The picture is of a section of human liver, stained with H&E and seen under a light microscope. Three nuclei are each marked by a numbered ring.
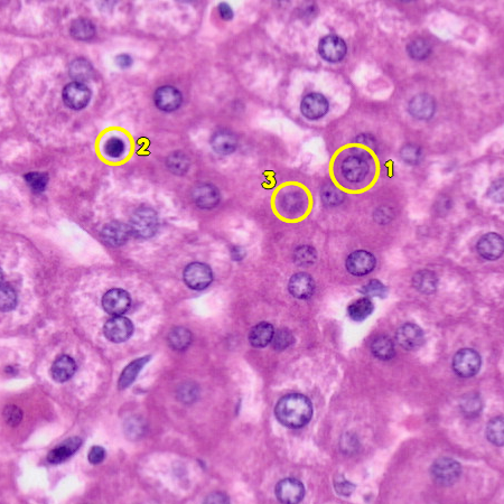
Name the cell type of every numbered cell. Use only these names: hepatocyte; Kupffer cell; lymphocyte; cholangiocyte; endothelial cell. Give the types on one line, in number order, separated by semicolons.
hepatocyte; lymphocyte; hepatocyte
